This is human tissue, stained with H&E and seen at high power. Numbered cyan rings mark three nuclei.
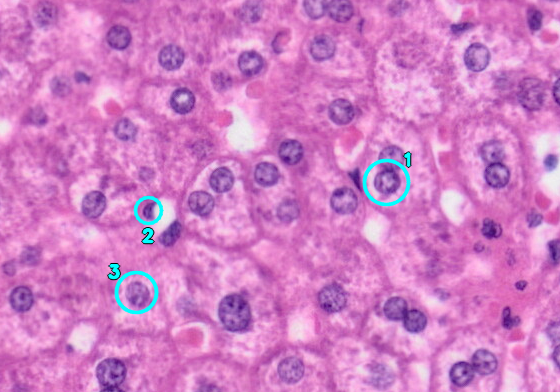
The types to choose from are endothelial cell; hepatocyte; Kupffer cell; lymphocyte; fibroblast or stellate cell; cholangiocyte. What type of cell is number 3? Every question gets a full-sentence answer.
In the marked set, the cell given number 3 is a hepatocyte.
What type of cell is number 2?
Heads up, the cell numbered 2 is an endothelial cell.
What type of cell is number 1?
Numbered cell 1 is a hepatocyte in this tissue section.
